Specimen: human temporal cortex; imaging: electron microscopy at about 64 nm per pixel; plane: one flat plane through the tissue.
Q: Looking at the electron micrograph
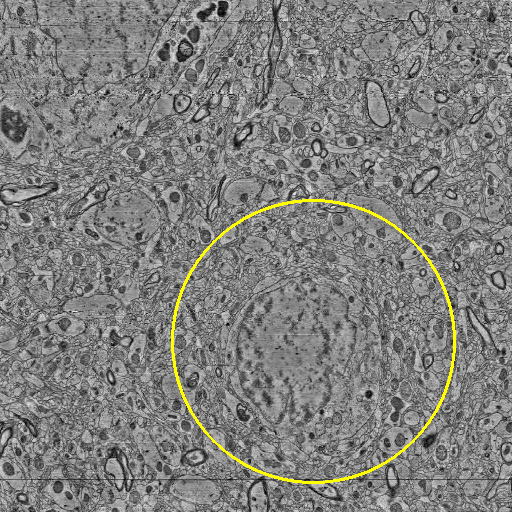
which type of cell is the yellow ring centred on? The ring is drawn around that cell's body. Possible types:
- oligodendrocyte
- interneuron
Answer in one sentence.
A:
The yellow ring is centred on an interneuron.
